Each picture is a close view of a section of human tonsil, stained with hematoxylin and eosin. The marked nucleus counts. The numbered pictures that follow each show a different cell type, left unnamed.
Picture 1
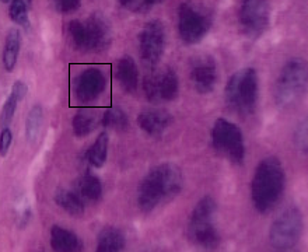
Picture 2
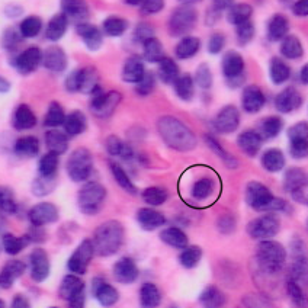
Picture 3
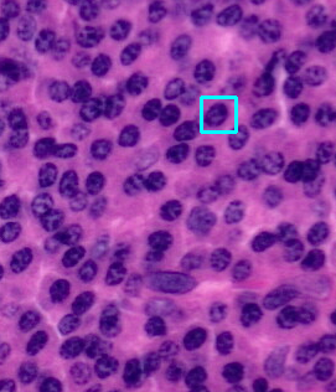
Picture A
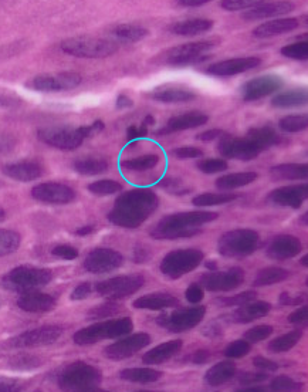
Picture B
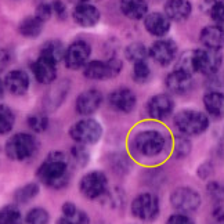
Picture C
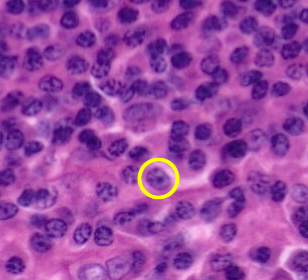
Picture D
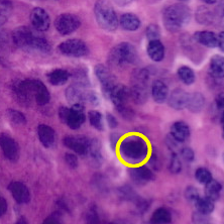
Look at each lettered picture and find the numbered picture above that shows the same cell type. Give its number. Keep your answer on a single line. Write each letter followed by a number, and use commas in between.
A 1, B 3, C 3, D 1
